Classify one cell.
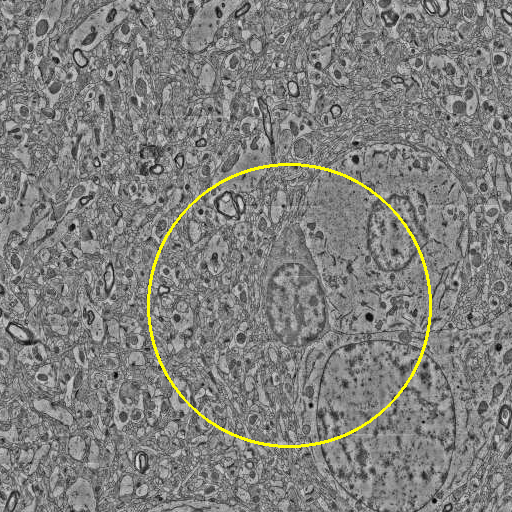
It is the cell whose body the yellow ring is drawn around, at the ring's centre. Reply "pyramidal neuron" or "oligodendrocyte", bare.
oligodendrocyte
